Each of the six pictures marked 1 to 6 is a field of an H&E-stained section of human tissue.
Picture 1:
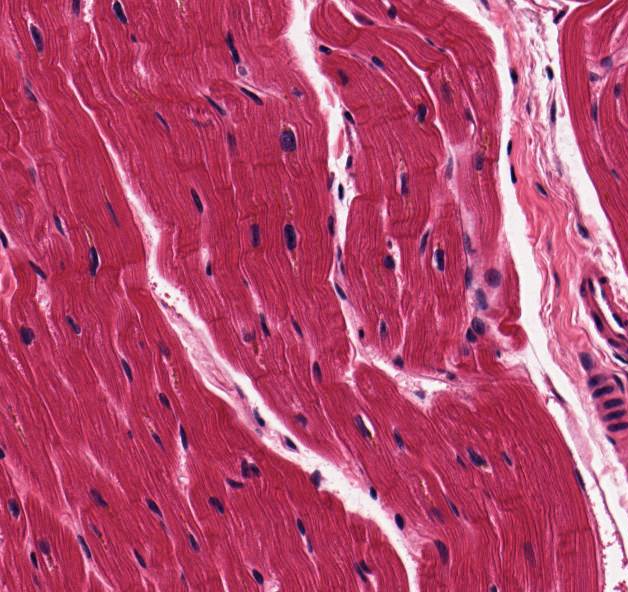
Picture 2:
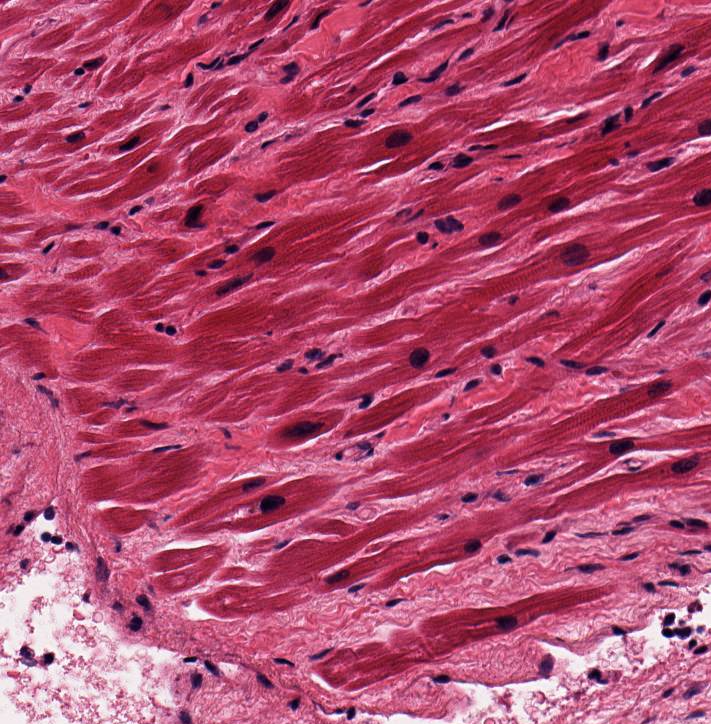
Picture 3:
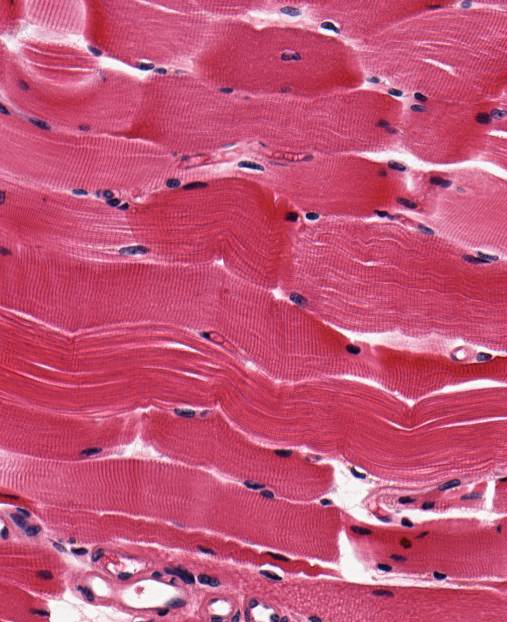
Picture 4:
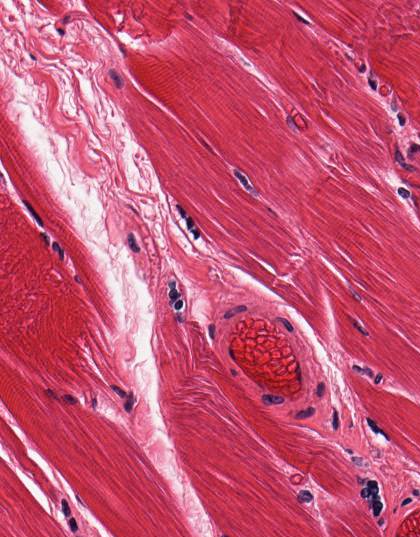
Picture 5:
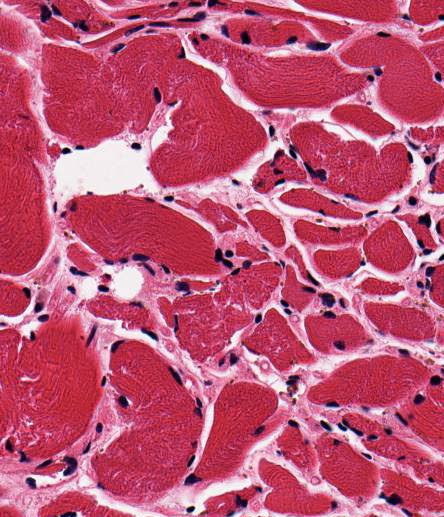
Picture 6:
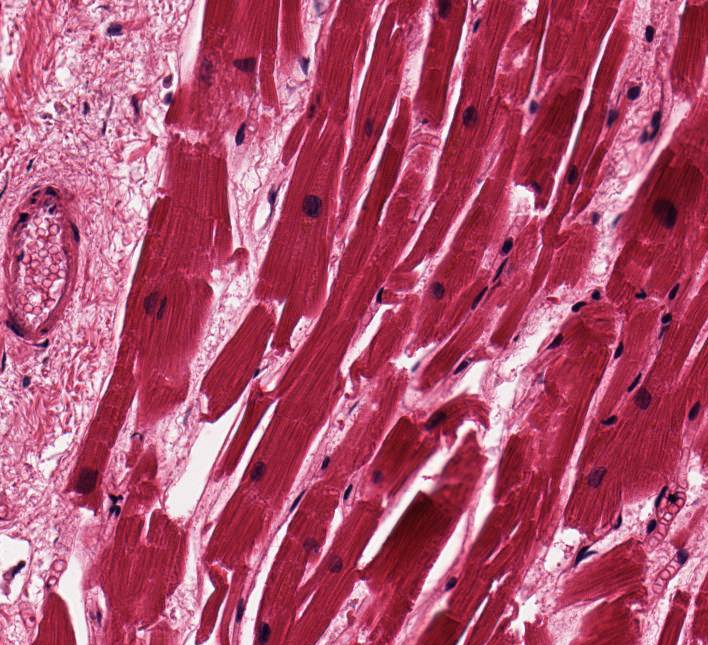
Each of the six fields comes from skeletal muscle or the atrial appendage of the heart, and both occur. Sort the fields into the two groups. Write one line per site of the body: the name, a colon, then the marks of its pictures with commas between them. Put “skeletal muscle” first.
skeletal muscle: 3, 4, 5
atrial appendage of the heart: 1, 2, 6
